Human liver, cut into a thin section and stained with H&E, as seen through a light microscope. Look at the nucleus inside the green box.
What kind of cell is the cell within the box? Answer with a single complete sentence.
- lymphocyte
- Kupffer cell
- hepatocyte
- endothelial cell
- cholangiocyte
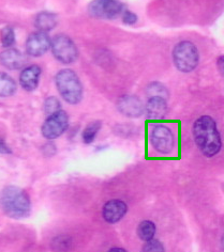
Just put down that the cell within the box is a cholangiocyte.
